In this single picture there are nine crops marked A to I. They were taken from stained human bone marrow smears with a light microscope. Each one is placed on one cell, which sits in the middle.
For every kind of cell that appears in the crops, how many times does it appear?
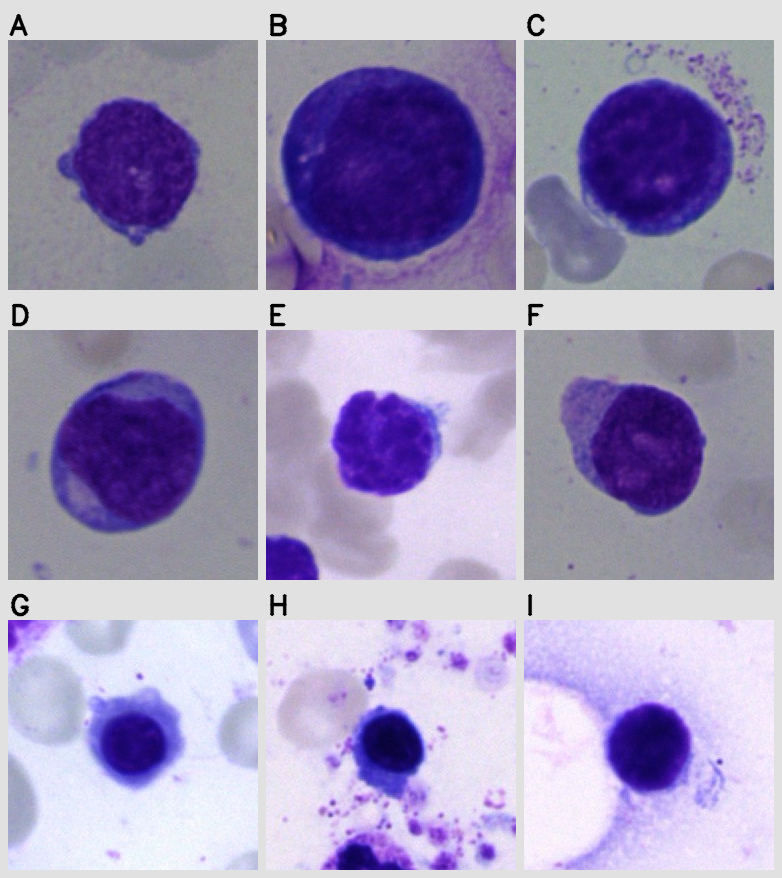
blast: 5
lymphocyte: 2
erythroblast: 2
